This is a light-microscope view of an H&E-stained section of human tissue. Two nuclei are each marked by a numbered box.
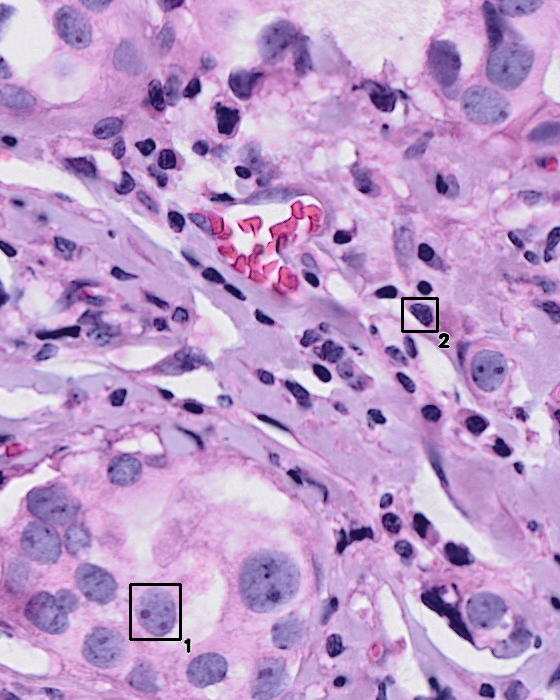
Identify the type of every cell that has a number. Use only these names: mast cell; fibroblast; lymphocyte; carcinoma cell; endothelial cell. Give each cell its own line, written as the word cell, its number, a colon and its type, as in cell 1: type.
cell 1: carcinoma cell
cell 2: lymphocyte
